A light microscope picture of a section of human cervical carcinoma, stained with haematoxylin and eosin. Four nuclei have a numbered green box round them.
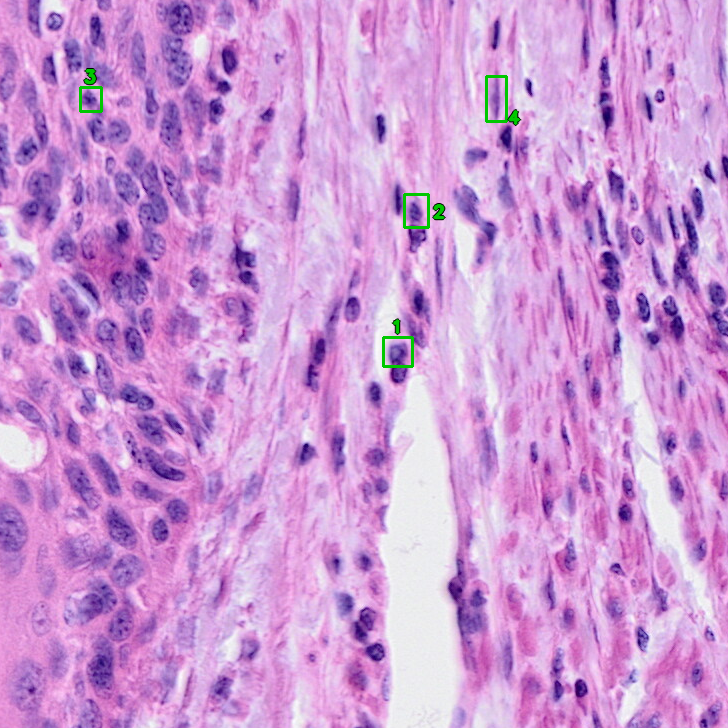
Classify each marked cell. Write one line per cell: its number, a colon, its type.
1: lymphocyte
2: lymphocyte
3: squamous carcinoma cell
4: fibroblast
